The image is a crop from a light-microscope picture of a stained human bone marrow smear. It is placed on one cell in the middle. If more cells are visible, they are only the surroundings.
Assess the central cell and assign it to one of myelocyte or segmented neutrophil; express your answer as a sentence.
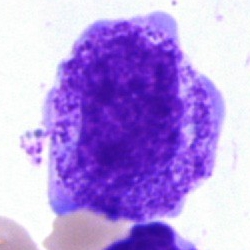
The center cell of this crop is a myelocyte.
